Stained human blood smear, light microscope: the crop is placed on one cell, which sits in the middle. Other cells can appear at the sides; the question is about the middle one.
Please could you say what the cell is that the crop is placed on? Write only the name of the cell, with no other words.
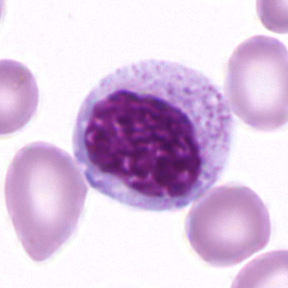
metamyelocyte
